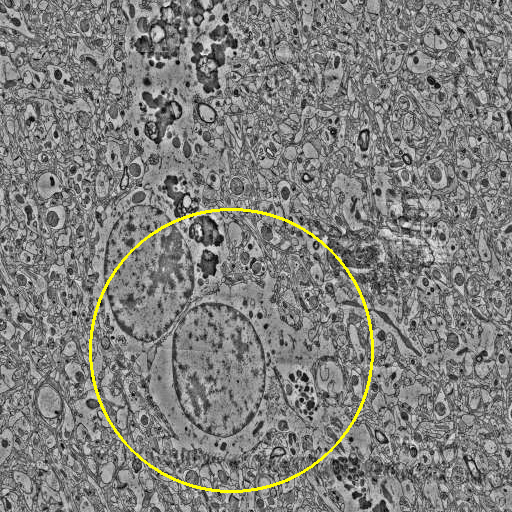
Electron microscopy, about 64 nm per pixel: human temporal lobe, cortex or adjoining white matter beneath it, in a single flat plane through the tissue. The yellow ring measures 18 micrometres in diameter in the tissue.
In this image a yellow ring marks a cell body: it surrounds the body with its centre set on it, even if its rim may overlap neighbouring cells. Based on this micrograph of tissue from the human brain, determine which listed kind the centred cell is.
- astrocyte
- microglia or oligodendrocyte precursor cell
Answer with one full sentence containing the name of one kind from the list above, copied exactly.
It is an astrocyte whose body the yellow ring encloses at its centre.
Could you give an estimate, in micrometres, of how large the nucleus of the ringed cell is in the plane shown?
About 9 micrometres by about 6 micrometres in this plane.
